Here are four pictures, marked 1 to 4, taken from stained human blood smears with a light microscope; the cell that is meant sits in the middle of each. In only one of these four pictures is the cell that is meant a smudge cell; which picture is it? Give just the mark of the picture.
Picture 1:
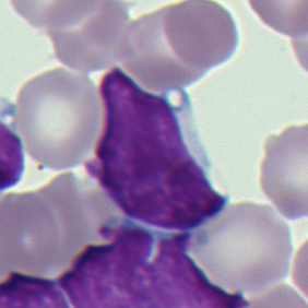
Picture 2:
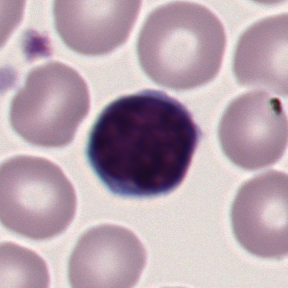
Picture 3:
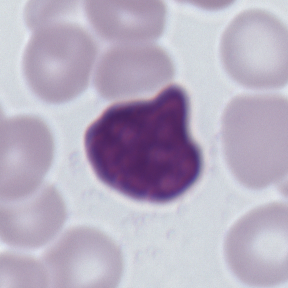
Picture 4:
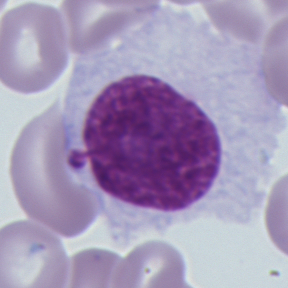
3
